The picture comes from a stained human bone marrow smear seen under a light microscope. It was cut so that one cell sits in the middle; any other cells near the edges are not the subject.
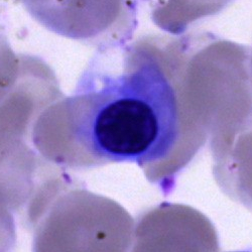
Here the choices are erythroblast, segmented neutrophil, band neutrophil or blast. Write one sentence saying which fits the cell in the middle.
Looking at the middle of the crop, the cell there is an erythroblast.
